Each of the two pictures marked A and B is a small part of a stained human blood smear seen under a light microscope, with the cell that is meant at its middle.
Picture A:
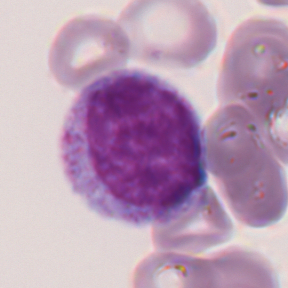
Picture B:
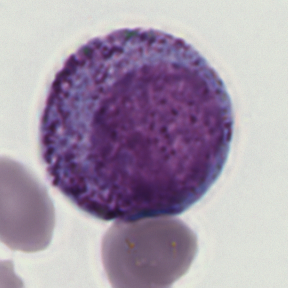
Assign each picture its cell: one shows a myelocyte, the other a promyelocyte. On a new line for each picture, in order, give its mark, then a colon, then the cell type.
A: myelocyte
B: promyelocyte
